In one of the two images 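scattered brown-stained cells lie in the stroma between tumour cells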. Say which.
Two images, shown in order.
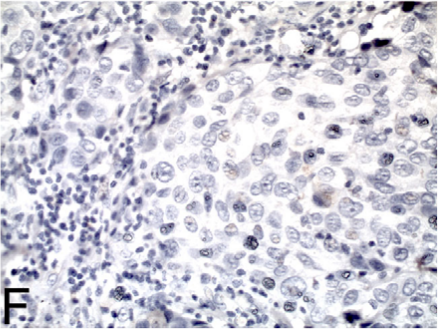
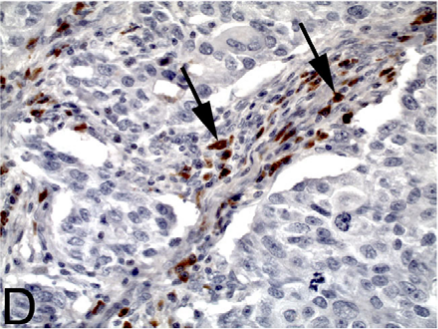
The second image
